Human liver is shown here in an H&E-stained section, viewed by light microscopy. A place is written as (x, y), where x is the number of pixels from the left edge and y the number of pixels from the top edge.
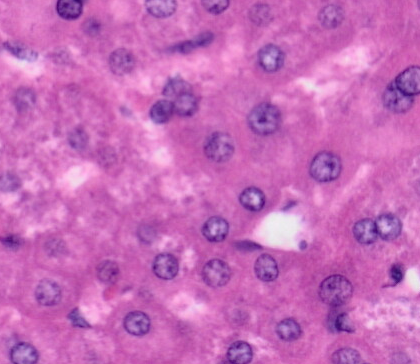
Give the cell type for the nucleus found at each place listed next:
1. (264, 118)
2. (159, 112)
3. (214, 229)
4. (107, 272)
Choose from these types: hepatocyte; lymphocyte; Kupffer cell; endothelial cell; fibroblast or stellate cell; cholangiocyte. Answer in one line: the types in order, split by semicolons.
hepatocyte; fibroblast or stellate cell; hepatocyte; hepatocyte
